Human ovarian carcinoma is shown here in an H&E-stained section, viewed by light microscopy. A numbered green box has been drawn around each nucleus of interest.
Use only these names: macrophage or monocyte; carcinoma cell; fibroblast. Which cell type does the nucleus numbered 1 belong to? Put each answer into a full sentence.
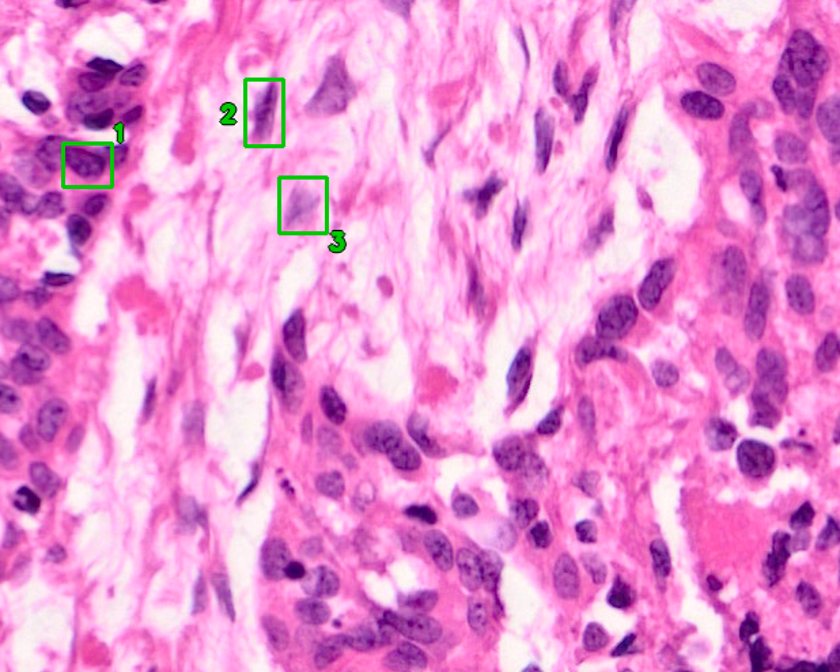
Nucleus 1 in this section belongs to a carcinoma cell.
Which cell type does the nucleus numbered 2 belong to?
Identified as a fibroblast is the cell bearing the number 2.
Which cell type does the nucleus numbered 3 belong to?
Cell 3, among those numbered, is a fibroblast.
